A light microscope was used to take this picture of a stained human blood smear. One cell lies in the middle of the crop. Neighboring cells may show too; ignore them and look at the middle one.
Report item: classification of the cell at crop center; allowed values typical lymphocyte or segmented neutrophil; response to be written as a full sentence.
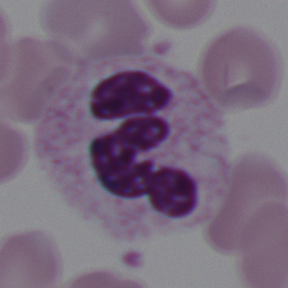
Here the cell in the middle is a segmented neutrophil.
